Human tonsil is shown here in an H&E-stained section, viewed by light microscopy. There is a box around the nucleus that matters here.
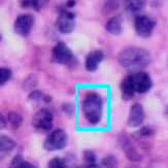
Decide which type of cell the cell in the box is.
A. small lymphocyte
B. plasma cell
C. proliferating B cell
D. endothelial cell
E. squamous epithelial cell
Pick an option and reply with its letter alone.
C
